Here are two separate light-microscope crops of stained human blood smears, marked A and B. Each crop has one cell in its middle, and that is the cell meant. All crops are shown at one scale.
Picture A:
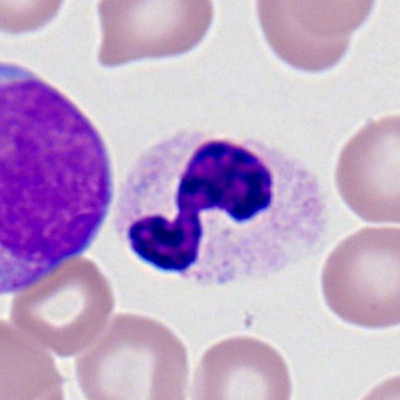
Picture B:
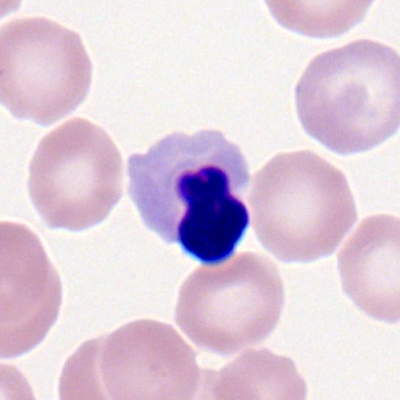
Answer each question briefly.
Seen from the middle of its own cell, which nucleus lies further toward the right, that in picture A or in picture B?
B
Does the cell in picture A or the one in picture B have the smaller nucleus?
B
